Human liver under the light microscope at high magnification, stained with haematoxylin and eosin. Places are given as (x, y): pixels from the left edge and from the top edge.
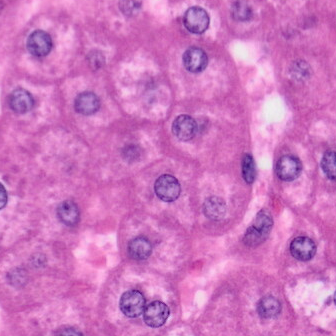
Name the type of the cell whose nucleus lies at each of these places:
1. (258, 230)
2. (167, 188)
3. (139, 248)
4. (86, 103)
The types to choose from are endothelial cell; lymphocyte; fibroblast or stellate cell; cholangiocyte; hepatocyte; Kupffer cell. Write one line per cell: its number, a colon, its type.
1: Kupffer cell
2: hepatocyte
3: hepatocyte
4: hepatocyte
